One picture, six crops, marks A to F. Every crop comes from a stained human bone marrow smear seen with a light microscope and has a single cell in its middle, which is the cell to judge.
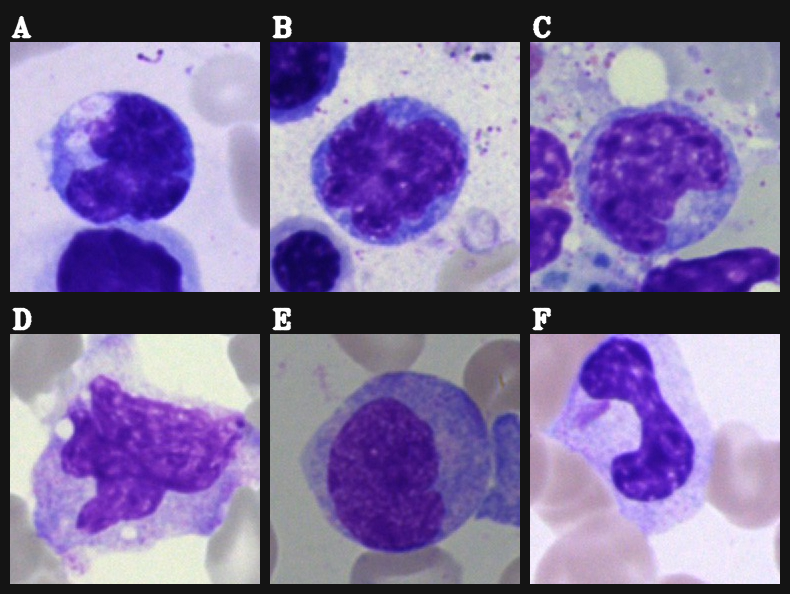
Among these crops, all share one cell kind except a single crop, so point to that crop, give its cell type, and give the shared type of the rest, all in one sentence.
Apart from crop F, a band neutrophil, the crops all show monocytes.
